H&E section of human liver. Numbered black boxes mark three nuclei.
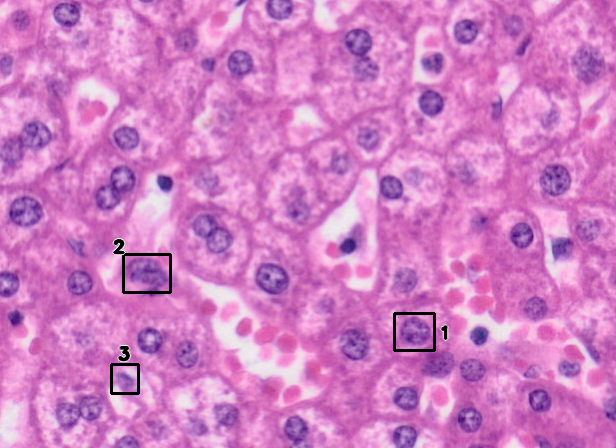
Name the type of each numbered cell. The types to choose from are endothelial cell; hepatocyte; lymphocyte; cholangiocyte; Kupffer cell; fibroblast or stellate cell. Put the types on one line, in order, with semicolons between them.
hepatocyte; Kupffer cell; Kupffer cell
